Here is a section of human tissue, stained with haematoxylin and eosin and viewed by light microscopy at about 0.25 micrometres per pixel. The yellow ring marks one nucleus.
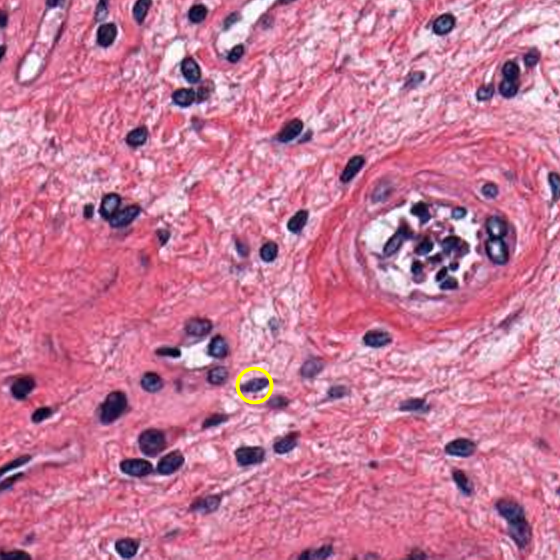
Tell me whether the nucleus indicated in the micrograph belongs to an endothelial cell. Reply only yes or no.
no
